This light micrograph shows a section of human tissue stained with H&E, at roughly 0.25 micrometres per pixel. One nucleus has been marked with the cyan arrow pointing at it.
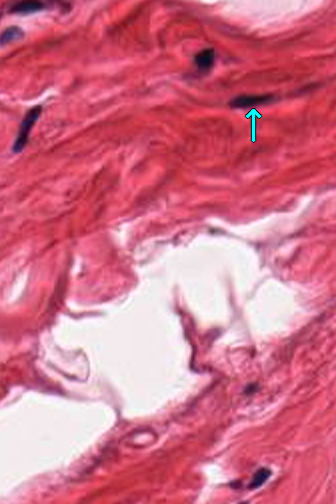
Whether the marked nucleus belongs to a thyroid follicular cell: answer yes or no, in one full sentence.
No, the marked nucleus does not belong to a thyroid follicular cell; it belongs to a supporting cell.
